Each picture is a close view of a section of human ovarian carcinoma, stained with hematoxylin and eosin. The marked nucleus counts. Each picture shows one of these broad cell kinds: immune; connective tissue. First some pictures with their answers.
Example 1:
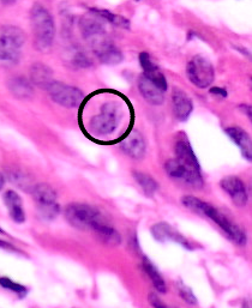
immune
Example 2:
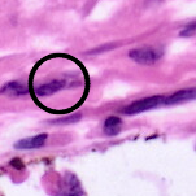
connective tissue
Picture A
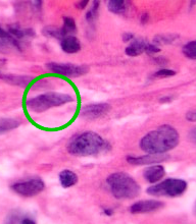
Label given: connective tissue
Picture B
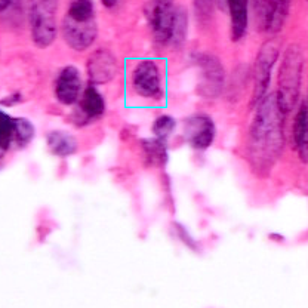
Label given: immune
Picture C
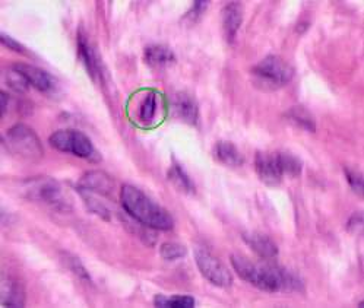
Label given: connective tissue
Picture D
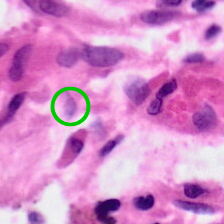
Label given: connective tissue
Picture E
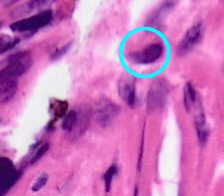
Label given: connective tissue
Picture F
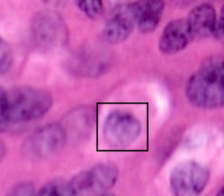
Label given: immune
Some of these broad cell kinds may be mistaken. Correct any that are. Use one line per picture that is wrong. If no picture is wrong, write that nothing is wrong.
Nothing to fix; every label fits.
